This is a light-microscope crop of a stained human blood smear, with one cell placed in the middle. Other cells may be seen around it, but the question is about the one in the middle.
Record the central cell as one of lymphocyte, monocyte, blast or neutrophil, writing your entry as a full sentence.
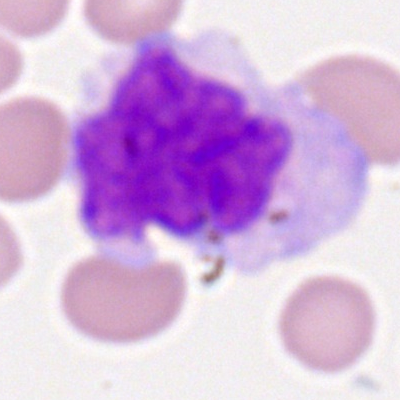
The cell at the central position in this crop is a monocyte.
